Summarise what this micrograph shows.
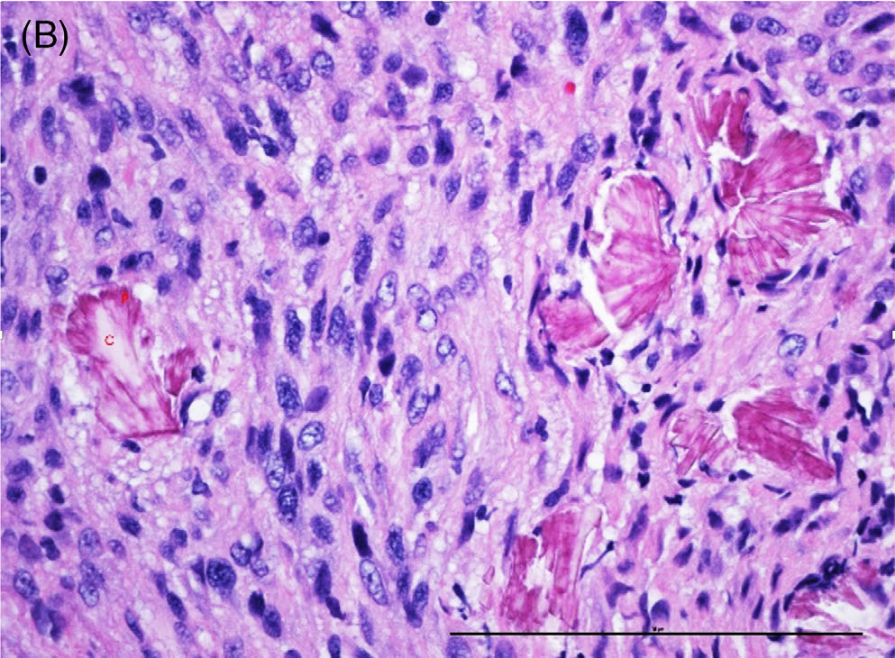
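At higher power, the spindle tumour cells with oval, vesicular nuclei surround several extracellular crystalloid deposits. These stain bright pink and are built of fine radiating petal-like striations fanning out from a central core, giving a floret-like look, and some are bordered by clefts.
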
